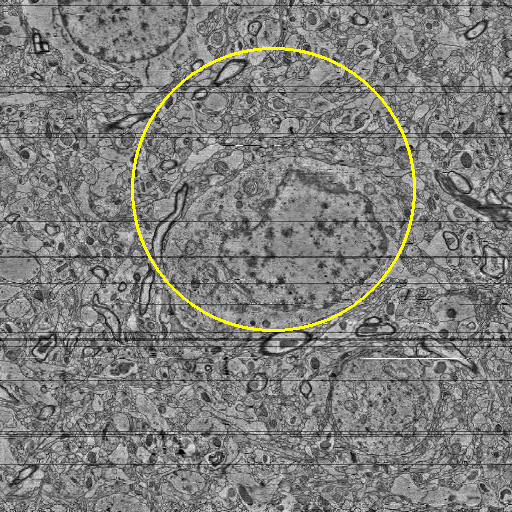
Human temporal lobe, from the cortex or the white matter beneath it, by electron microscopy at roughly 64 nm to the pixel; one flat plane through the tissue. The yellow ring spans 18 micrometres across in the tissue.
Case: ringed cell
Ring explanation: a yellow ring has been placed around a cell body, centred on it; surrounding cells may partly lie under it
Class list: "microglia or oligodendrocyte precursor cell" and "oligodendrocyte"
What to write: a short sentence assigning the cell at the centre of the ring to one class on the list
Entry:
The cell at the ring's centre is an oligodendrocyte.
